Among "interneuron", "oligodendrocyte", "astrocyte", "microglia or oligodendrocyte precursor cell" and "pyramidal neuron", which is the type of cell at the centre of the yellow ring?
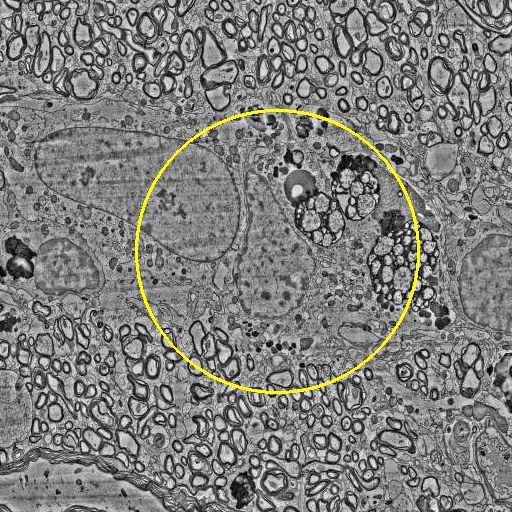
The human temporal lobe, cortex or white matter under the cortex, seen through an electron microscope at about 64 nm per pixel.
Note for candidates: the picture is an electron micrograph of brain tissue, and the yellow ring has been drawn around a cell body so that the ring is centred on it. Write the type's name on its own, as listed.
astrocyte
